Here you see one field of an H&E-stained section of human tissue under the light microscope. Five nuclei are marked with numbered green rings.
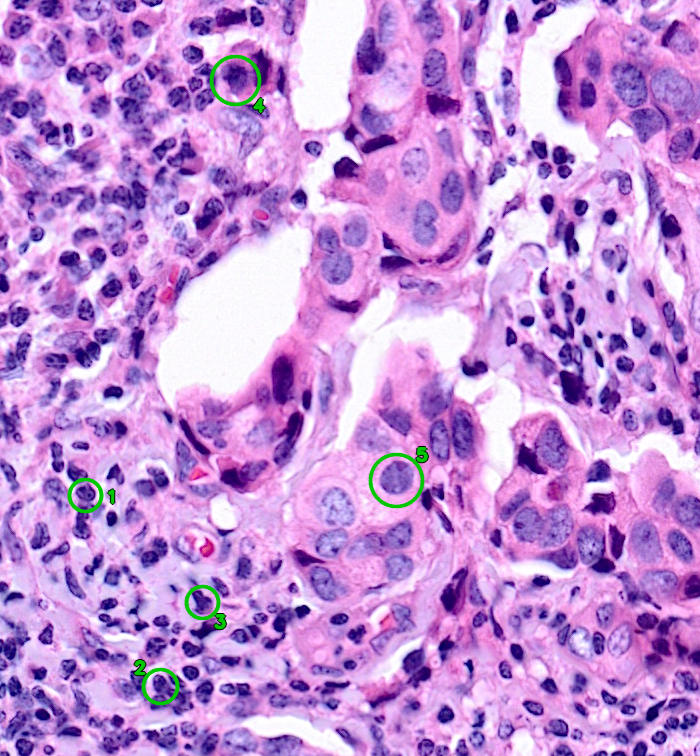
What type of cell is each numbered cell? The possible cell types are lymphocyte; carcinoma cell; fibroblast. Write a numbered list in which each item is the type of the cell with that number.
1. lymphocyte
2. lymphocyte
3. lymphocyte
4. carcinoma cell
5. carcinoma cell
